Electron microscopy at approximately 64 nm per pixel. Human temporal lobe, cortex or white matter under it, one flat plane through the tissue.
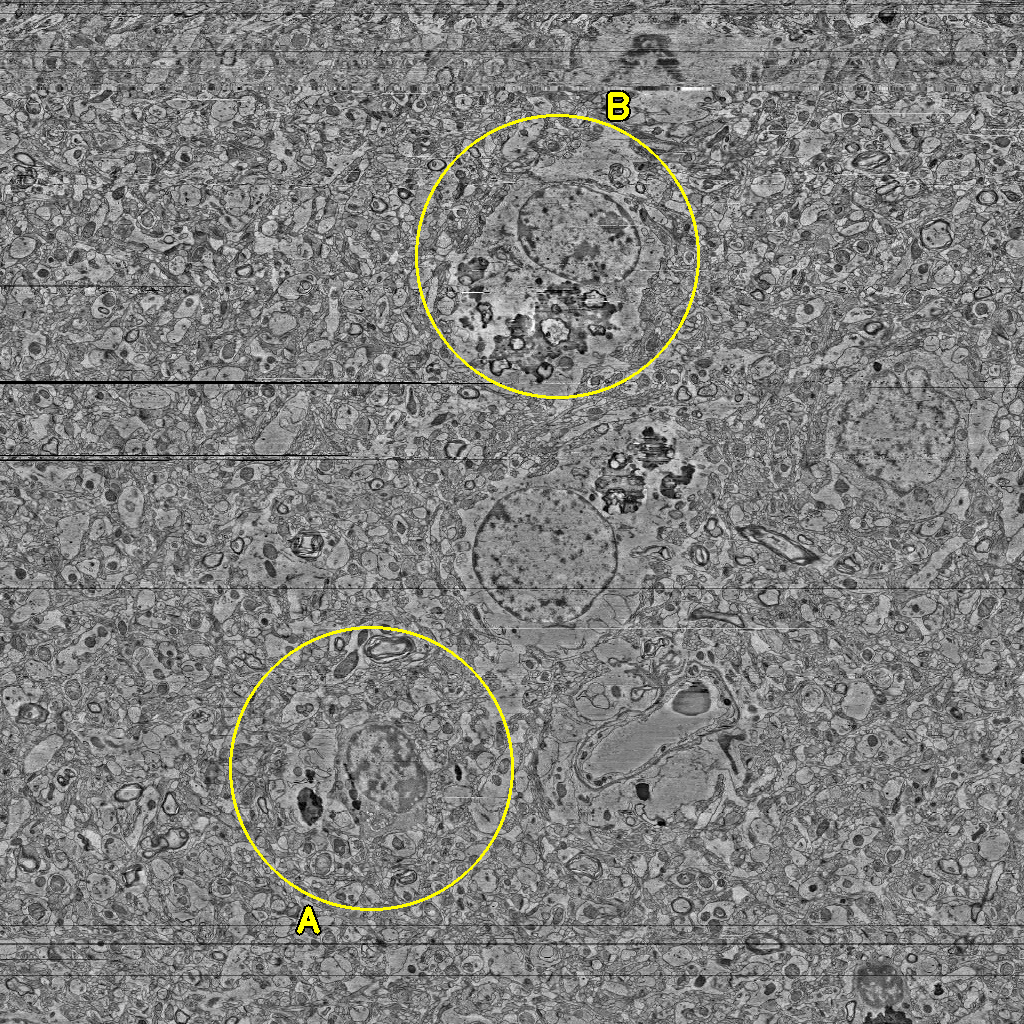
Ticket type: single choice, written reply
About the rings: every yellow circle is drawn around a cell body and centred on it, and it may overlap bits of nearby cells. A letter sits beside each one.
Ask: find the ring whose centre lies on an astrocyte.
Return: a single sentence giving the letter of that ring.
At the centre of the ring marked B lies the cell asked for.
